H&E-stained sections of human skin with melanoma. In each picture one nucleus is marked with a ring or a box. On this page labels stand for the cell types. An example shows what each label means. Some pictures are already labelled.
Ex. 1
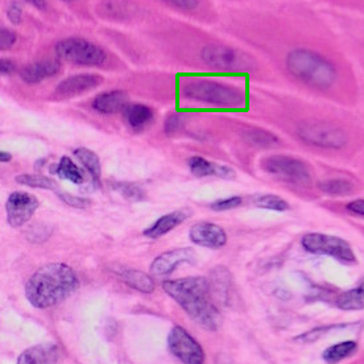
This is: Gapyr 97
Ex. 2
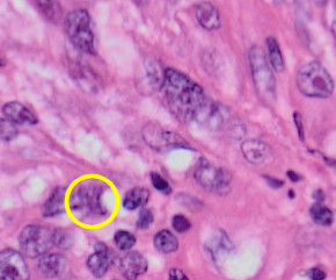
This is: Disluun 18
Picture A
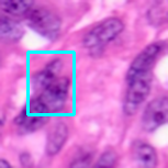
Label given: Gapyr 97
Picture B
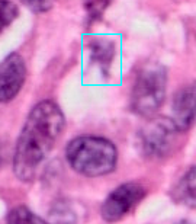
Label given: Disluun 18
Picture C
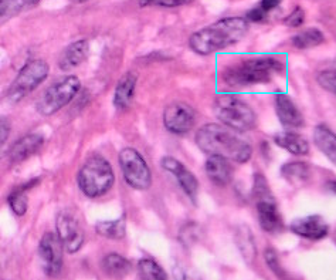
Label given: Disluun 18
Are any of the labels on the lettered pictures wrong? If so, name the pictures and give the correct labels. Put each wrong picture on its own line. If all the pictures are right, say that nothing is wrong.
A: not Gapyr 97 but Disluun 18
